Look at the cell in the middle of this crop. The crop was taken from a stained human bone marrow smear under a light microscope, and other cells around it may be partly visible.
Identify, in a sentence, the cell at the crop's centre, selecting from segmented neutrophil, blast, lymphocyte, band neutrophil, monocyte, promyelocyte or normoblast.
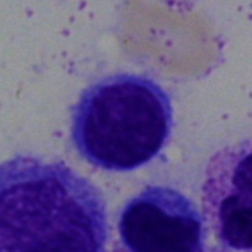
Seen at the centre of the crop is a lymphocyte.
